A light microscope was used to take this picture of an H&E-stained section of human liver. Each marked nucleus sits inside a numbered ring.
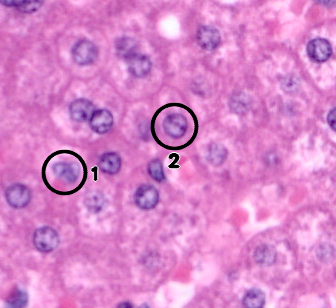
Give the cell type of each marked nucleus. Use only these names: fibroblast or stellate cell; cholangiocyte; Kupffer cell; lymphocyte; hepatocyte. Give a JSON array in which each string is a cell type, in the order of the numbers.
["Kupffer cell", "hepatocyte"]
